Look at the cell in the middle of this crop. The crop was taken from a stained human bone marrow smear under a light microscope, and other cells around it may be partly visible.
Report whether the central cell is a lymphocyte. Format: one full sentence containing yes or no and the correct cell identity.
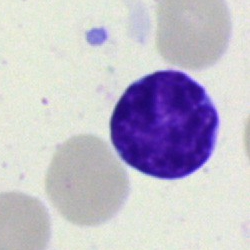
Yes, the middle of the crop is occupied by a lymphocyte.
